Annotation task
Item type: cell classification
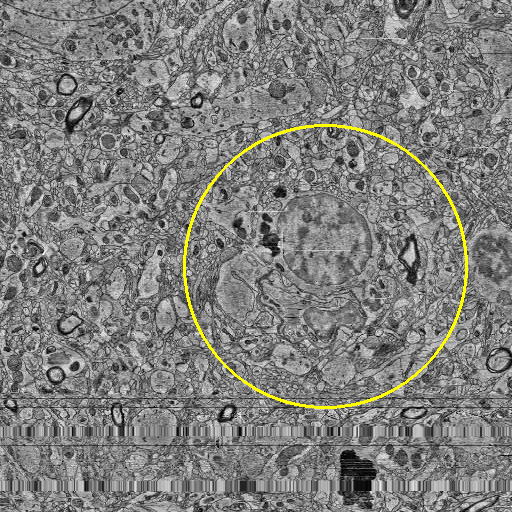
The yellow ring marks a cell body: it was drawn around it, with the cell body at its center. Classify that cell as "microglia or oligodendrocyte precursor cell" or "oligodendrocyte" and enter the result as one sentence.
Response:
The ring's center falls on an oligodendrocyte.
